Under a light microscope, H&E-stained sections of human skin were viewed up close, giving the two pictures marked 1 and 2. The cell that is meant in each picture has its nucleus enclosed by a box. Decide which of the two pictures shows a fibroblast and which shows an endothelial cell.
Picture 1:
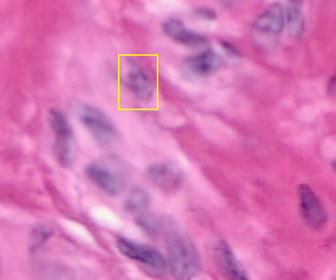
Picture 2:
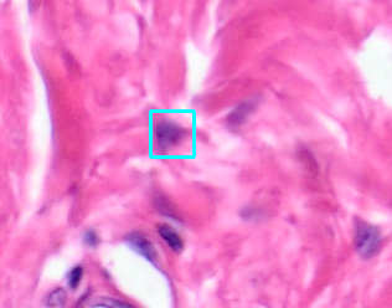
1: endothelial cell
2: fibroblast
